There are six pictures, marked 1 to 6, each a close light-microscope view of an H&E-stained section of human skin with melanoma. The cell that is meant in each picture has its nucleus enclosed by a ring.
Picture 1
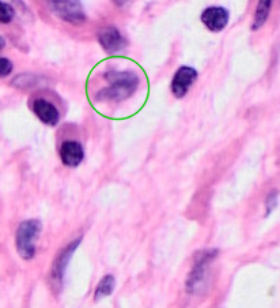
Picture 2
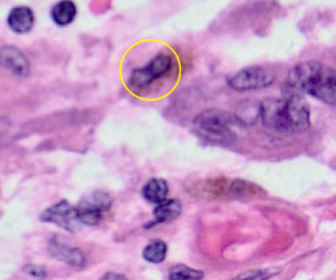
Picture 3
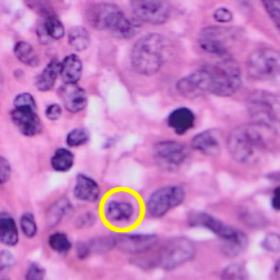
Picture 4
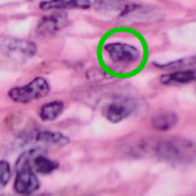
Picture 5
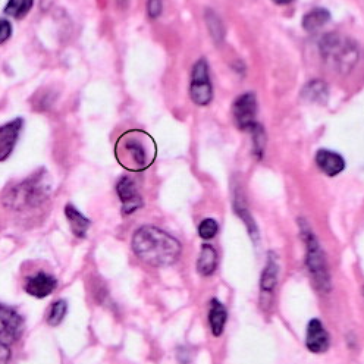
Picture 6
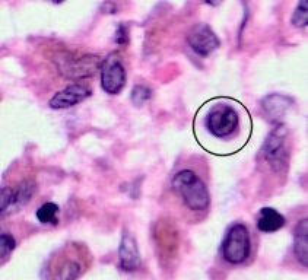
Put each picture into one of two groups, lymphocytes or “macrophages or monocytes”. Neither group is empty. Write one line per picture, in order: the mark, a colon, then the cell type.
1: macrophage or monocyte
2: macrophage or monocyte
3: lymphocyte
4: lymphocyte
5: macrophage or monocyte
6: macrophage or monocyte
